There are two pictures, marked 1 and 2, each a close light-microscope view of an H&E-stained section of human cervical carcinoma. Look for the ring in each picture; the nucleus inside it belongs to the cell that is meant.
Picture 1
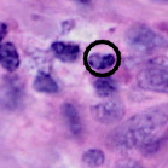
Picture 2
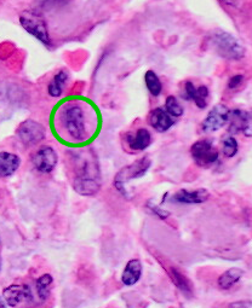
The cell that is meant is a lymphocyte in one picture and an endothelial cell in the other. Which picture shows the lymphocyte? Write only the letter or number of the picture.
1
